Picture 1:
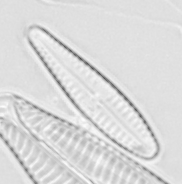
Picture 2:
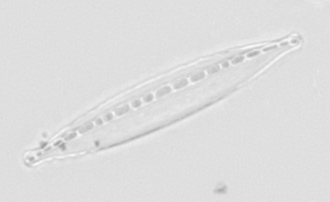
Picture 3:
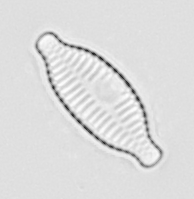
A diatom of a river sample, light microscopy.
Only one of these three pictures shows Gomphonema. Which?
Picture 1.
